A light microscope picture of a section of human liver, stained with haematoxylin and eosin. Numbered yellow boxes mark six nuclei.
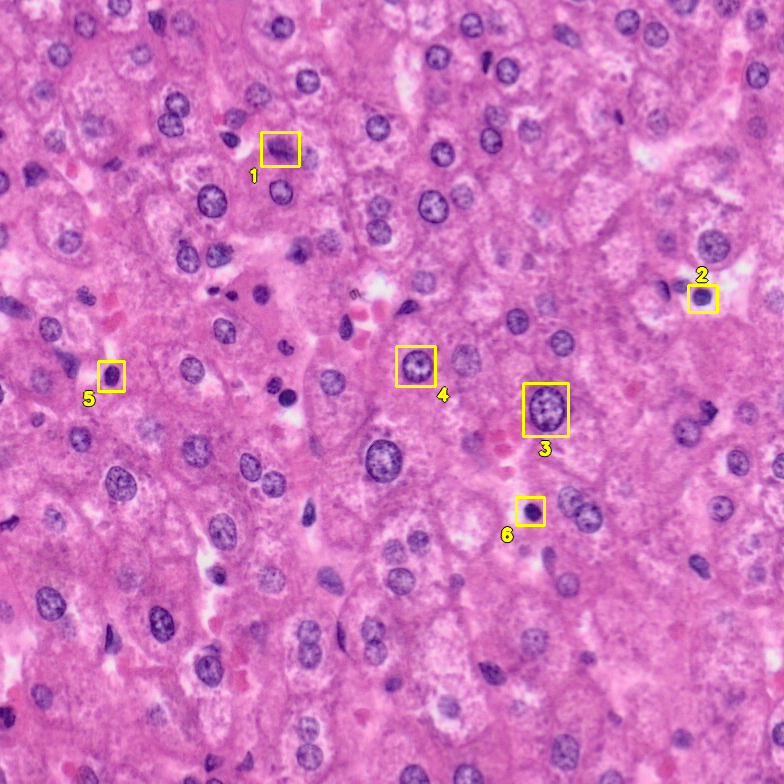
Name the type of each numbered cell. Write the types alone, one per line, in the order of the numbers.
fibroblast or stellate cell
lymphocyte
hepatocyte
hepatocyte
lymphocyte
lymphocyte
